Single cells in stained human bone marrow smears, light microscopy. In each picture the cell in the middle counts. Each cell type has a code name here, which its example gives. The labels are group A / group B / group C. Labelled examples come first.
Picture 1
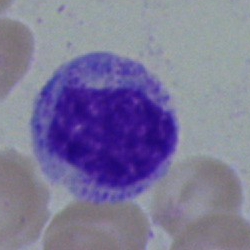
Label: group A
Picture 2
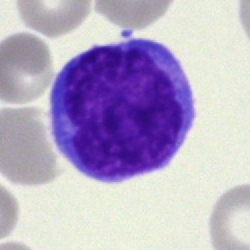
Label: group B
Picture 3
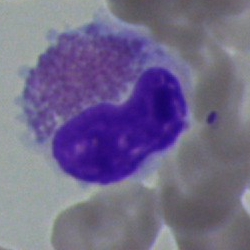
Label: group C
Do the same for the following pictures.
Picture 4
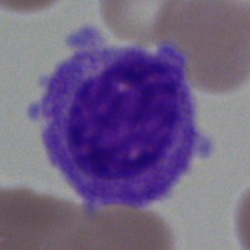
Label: group A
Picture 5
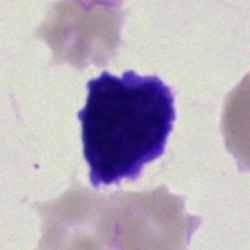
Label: group B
